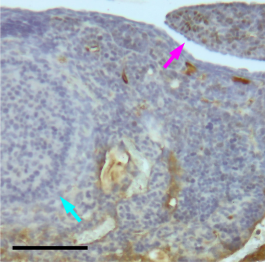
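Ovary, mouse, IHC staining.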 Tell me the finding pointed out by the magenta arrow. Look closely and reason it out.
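Outgrowths. A rounded cell mass lies on the surface of the tissue, partly separated by a clear gap. The mass is packed with cells with brown nuclei.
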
